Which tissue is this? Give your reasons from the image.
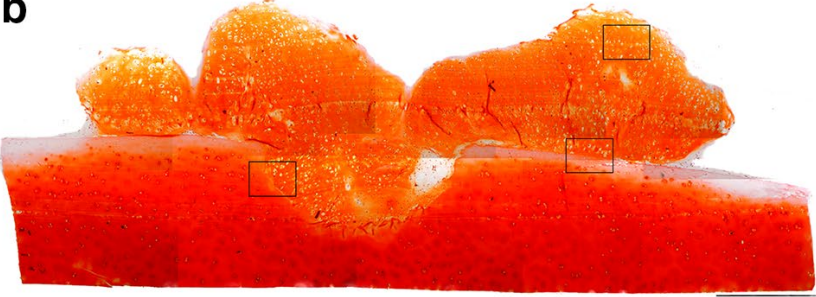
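Lobulated upper tissue and a flat lower slab both have orange-red stained matrix. Cells are scattered singly in pale spaces throughout the matrix. That points to this answer: cartilage.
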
